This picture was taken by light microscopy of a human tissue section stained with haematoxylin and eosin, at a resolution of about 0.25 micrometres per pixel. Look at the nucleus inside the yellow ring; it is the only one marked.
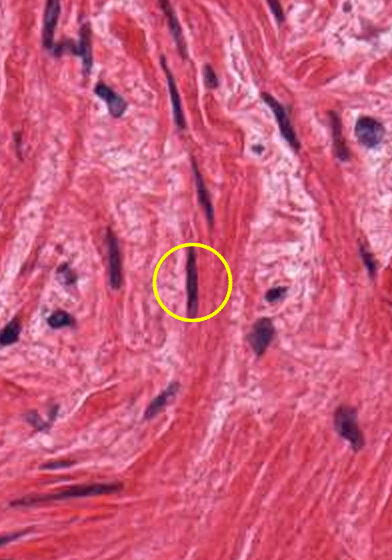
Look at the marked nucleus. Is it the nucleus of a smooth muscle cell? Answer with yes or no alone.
yes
